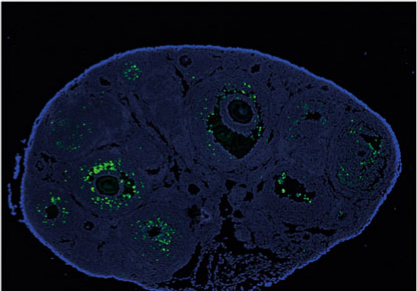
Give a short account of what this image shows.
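A section of ovary in which blue-stained nuclei fill the whole tissue, with several large round follicles outlined by dark fluid spaces and central oocytes. Bright green dots gather in clusters within the cell layers surrounding several follicles, densest around one follicle at the left and in patches around others, while the stroma between follicles is largely free of green.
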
